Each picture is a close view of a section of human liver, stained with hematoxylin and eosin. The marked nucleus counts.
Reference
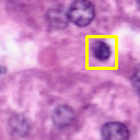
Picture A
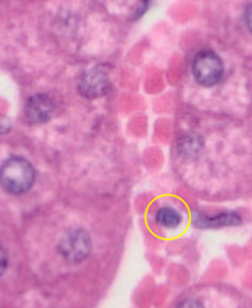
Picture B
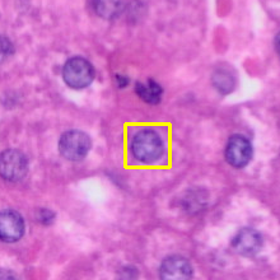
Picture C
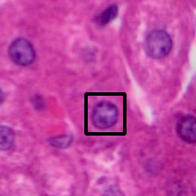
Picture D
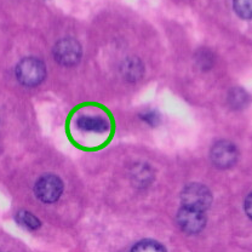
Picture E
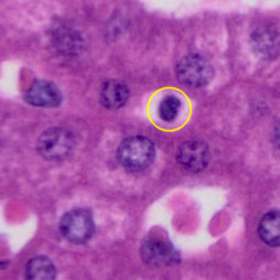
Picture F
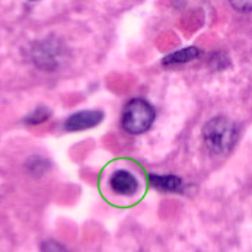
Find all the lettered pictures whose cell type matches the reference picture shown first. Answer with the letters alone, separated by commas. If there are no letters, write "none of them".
A, D, E, F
